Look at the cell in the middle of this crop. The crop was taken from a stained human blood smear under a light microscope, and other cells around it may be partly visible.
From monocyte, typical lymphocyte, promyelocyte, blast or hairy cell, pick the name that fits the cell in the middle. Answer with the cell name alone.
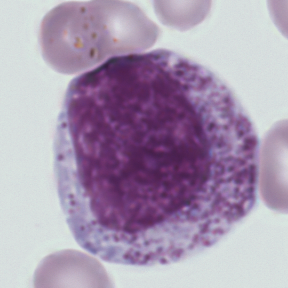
promyelocyte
